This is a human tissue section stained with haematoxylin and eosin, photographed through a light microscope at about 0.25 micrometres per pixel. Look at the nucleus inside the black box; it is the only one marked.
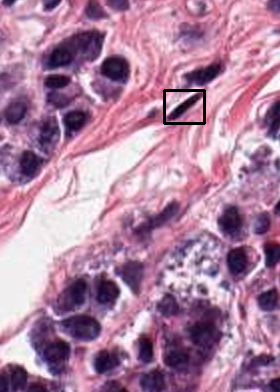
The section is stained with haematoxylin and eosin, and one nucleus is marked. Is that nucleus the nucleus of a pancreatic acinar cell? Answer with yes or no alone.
no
